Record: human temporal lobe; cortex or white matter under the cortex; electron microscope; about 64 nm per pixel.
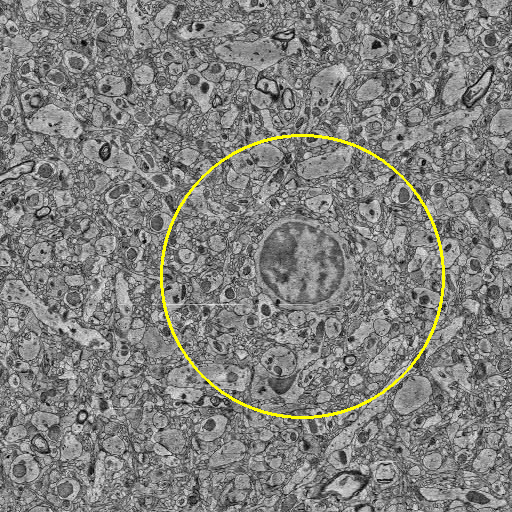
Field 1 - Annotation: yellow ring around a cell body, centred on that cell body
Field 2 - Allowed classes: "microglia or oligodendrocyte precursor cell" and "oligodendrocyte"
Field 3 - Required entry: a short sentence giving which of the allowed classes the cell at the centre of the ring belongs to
The centred cell is an oligodendrocyte.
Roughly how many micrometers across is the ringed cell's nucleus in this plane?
About 5 micrometers across, in this plane.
